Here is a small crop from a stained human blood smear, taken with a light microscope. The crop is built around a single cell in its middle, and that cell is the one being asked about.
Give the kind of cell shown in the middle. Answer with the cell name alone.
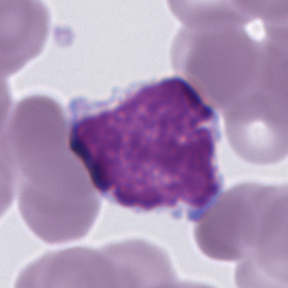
large granular lymphocyte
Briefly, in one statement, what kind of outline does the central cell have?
Irregularity marks the cell border, whether as raggedness or as projections.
